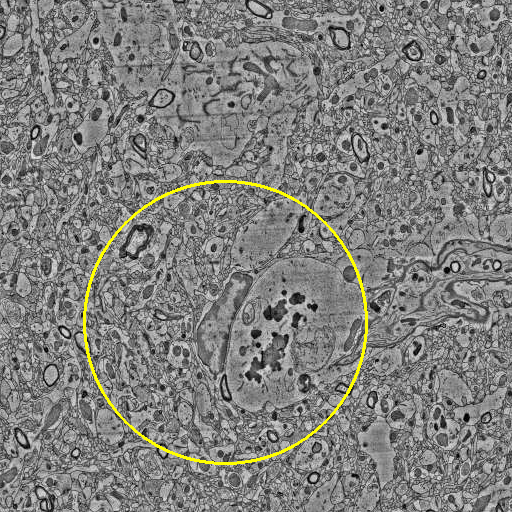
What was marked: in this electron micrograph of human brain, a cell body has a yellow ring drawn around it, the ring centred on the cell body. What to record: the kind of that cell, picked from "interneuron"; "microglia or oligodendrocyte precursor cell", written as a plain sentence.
The centred cell is a microglial cell or oligodendrocyte precursor cell.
